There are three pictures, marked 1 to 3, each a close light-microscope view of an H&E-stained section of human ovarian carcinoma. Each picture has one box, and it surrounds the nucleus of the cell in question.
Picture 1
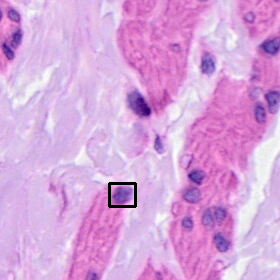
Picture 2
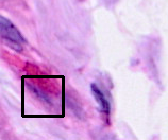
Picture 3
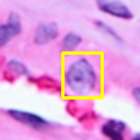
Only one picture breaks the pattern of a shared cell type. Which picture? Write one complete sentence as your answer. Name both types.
Picture 1 is the odd one out: it shows a smooth muscle cell, while the others show endothelial cells.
